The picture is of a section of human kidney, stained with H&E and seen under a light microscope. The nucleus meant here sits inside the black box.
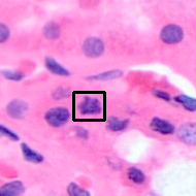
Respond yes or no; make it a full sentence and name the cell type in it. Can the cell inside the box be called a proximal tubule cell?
No, the cell inside the box corresponds to a loop of Henle or distal tubule cell rather than to a proximal tubule cell.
